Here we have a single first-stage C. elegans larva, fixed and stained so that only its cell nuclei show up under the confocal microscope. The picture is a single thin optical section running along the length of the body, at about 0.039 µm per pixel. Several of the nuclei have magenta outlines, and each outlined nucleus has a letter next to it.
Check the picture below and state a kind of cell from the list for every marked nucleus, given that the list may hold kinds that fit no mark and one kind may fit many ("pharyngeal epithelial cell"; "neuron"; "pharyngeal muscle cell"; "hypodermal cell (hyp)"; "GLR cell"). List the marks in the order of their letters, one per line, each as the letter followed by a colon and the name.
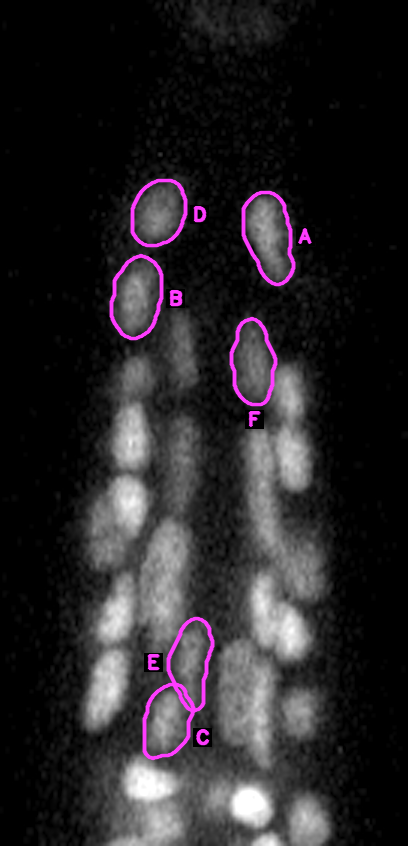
A: hypodermal cell (hyp)
B: hypodermal cell (hyp)
C: neuron
D: hypodermal cell (hyp)
E: pharyngeal muscle cell
F: pharyngeal epithelial cell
